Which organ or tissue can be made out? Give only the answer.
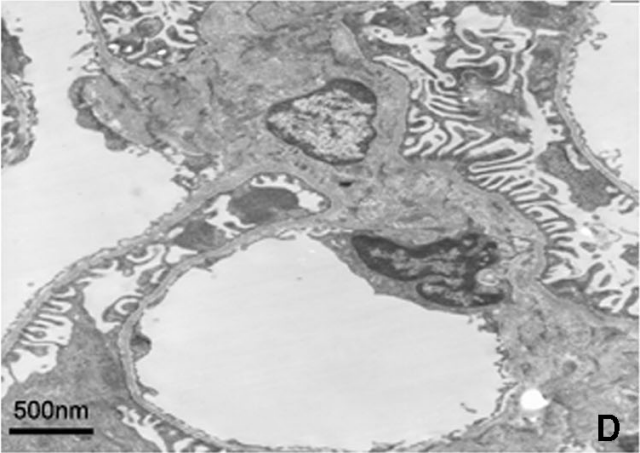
Glomerulus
